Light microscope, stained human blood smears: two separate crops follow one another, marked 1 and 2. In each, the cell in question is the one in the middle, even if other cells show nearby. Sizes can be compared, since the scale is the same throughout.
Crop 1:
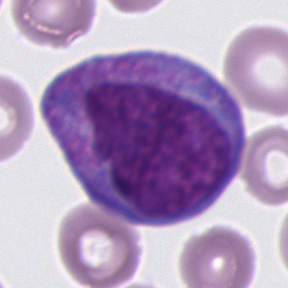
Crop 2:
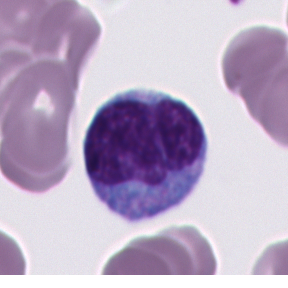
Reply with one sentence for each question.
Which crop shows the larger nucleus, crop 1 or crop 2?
Larger is the nucleus in crop 1, at roughly 2 times the area of the other.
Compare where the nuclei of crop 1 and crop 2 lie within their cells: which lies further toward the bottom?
It is the nucleus in crop 1 that lies further toward the bottom of its cell.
